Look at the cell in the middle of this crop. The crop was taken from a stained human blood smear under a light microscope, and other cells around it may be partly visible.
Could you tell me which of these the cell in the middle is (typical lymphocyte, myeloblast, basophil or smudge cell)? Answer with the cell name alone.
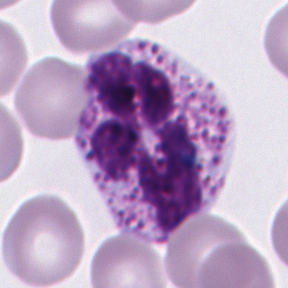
basophil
